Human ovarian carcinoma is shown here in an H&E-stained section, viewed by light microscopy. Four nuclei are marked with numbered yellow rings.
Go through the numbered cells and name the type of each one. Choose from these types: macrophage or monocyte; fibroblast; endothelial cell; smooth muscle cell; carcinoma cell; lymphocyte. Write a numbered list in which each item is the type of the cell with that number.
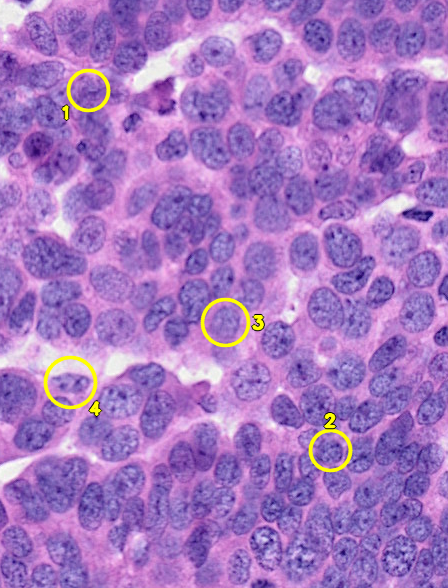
1. carcinoma cell
2. carcinoma cell
3. carcinoma cell
4. macrophage or monocyte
